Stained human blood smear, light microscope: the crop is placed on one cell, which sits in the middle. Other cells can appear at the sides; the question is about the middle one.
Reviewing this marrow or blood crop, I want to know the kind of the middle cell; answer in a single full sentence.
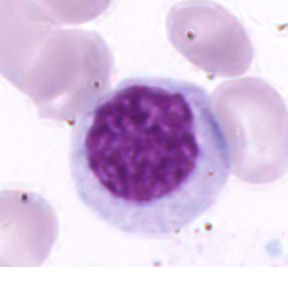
The centrally positioned cell in the crop represents a myelocyte.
